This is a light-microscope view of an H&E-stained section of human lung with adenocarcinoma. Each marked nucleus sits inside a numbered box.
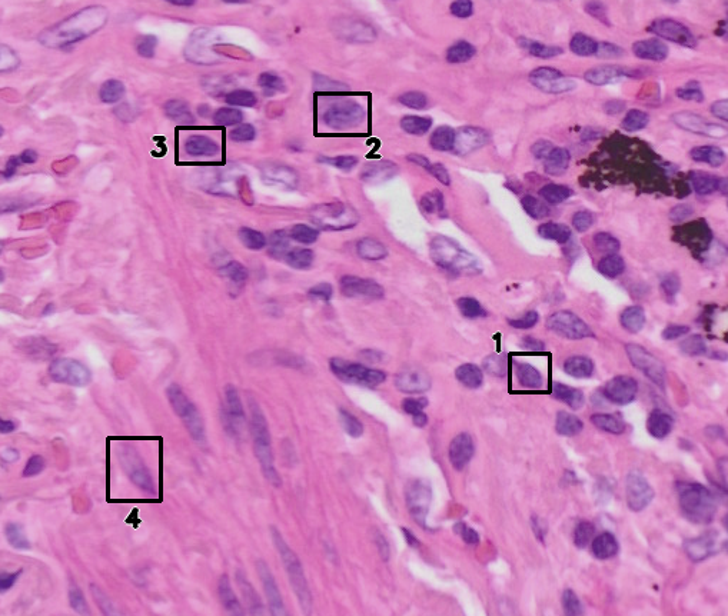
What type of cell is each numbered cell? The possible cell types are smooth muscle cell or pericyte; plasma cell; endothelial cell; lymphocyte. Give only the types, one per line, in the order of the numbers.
lymphocyte
lymphocyte
lymphocyte
smooth muscle cell or pericyte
